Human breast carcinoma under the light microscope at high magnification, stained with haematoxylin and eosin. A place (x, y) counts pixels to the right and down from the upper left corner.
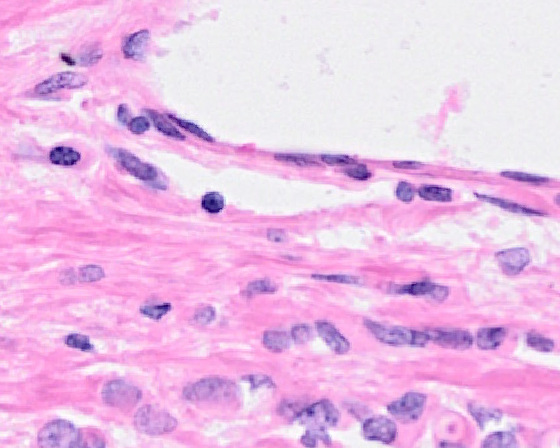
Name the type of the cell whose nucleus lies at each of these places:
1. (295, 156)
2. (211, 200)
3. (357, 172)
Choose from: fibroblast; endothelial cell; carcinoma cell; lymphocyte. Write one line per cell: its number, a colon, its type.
1: endothelial cell
2: lymphocyte
3: endothelial cell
